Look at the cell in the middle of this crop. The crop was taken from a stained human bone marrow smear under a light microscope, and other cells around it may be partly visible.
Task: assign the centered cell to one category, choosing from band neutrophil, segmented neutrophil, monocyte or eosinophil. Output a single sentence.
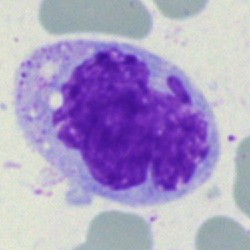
Positioned in the middle of the crop is a monocyte.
